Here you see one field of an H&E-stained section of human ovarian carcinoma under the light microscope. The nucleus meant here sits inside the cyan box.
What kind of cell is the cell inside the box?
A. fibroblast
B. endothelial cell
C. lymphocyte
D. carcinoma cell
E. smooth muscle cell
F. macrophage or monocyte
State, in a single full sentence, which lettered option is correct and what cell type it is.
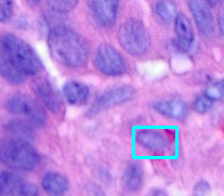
Here the cell inside the box is an endothelial cell, which makes option B correct.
